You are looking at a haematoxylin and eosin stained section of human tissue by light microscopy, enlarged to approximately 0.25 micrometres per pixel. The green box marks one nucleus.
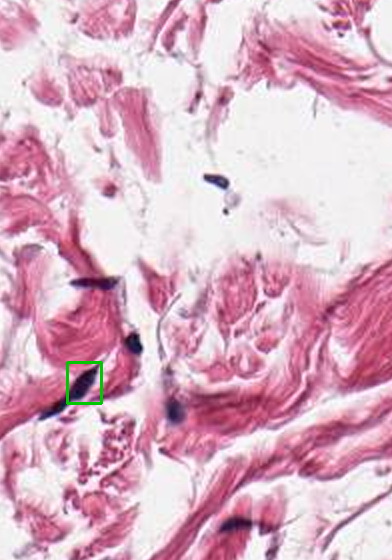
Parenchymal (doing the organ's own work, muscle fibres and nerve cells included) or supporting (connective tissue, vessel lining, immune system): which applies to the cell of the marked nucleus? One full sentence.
Held by a supporting cell is the marked nucleus in this section.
